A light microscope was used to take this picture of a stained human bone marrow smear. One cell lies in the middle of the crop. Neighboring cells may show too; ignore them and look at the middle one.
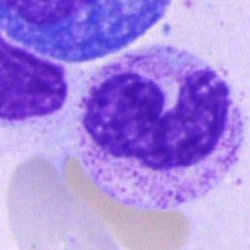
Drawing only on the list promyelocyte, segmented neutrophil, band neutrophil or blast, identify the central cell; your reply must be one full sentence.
The centrally located cell in the crop is a segmented neutrophil.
